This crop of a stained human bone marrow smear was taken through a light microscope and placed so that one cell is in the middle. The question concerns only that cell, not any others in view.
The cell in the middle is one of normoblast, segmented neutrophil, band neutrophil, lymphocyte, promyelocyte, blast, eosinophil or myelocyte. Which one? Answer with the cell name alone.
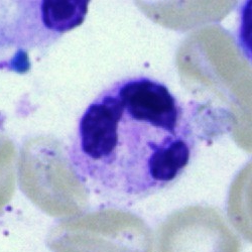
segmented neutrophil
